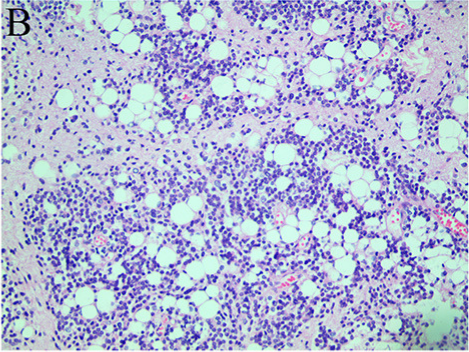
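At lower power the tumor shows sheets and bands of small round cells with dark blue nuclei crowded around many small vessels filled with red blood cells. Scattered throughout are clusters of clear, rounded empty spaces resembling fat, set within pale pink stroma.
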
